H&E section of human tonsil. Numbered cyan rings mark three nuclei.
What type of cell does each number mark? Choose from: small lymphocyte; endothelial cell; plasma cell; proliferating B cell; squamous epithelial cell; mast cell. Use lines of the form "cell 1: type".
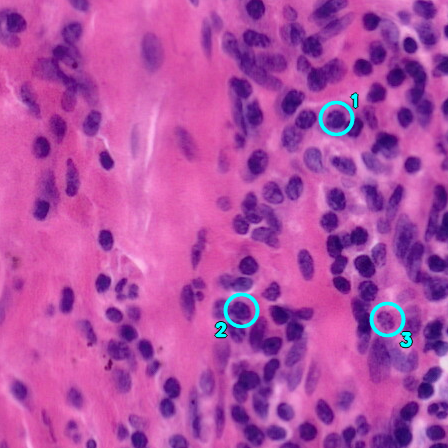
cell 1: plasma cell
cell 2: plasma cell
cell 3: endothelial cell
